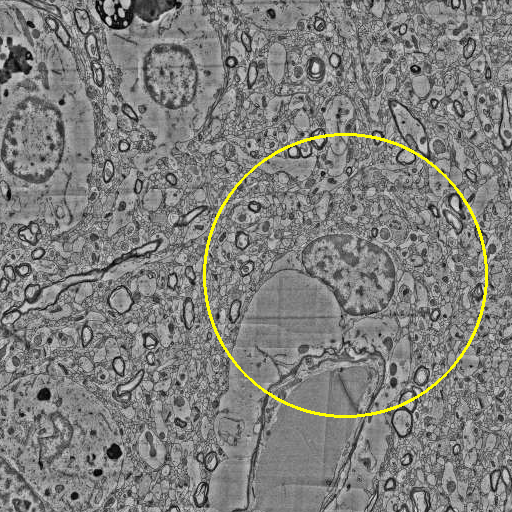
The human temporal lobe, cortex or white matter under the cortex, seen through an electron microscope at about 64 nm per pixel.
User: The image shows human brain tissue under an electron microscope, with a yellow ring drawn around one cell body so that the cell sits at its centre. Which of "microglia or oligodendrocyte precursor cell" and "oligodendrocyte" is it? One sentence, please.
At the centre of the ring sits a microglial cell or oligodendrocyte precursor cell.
